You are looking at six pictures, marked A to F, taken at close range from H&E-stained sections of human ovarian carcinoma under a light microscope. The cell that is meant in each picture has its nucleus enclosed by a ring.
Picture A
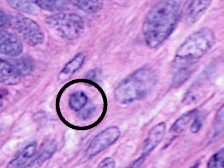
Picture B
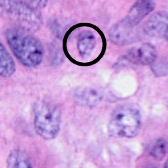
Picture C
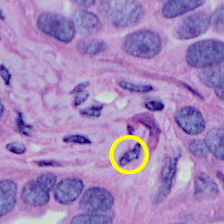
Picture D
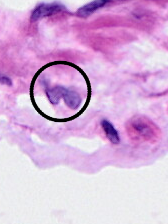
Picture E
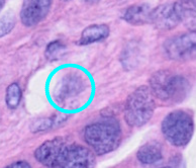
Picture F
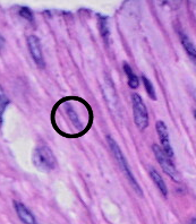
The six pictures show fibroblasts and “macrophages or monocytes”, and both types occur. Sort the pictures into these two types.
A: macrophage or monocyte
B: macrophage or monocyte
C: fibroblast
D: macrophage or monocyte
E: fibroblast
F: fibroblast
